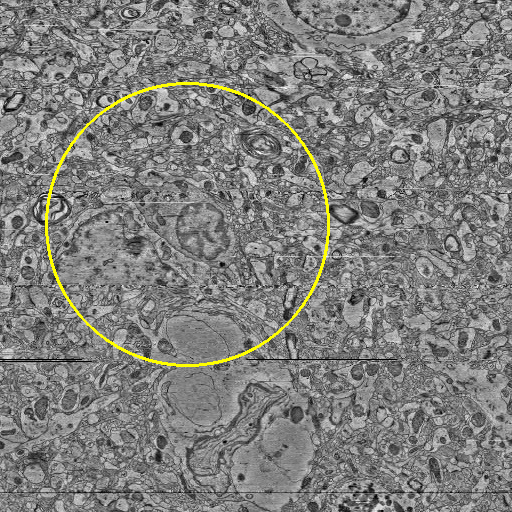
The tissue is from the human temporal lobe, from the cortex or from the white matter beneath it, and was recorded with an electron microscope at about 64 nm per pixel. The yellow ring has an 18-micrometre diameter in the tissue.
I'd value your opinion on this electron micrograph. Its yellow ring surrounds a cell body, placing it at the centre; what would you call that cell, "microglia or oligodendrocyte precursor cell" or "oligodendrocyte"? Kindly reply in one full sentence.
It is an oligodendrocyte that sits centred within the yellow ring in this micrograph.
